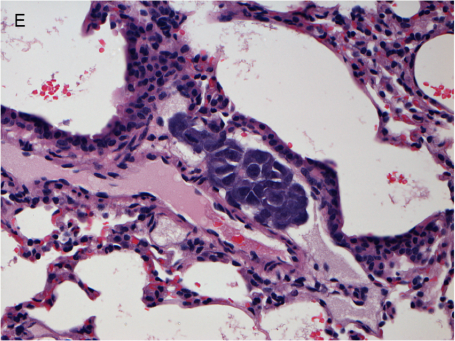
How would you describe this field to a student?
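In lung tissue, a small cluster of tumour cells lies inside a thin-walled vascular space among the alveoli. The tumour cells have dark purple nuclei crowded together in a lobulated clump, quite unlike the flat cells lining the surrounding air spaces.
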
